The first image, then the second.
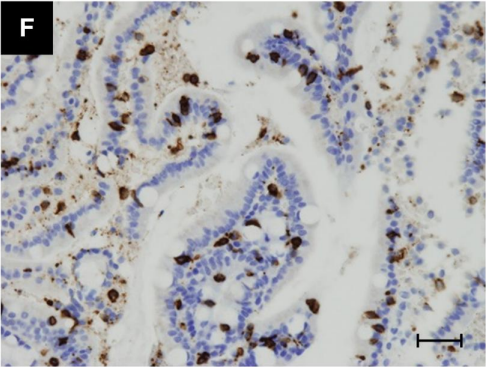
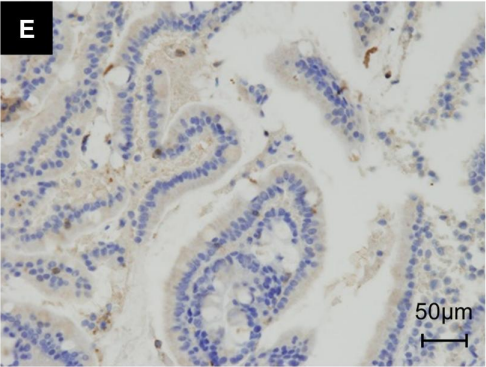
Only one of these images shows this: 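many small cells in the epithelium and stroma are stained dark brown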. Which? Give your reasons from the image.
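First image: numerous dark brown-stained small round cells scattered within the epithelial lining and the stroma of the folds. Second image: only a few faint brown cells, with mostly blue-counterstained nuclei and pale tan background.
Hence: the first image.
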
